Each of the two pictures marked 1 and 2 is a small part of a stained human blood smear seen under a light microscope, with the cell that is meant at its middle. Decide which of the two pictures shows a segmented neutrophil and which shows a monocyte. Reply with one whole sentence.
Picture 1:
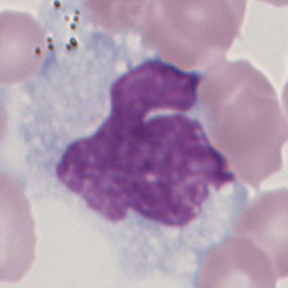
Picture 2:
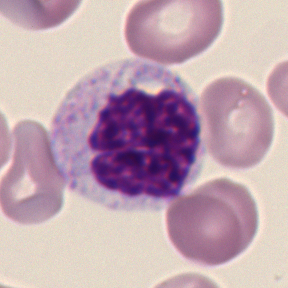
It is picture 1 that shows a monocyte, and picture 2 that shows a segmented neutrophil.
